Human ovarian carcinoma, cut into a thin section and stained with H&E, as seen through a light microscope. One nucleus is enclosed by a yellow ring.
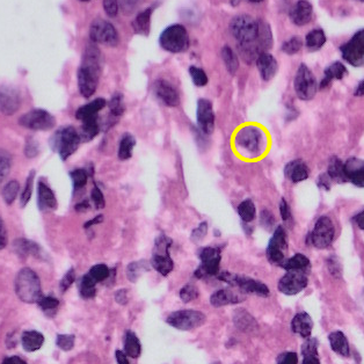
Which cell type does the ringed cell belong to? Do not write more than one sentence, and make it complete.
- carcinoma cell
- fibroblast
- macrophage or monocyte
In this section of tissue, the ringed cell is a macrophage or monocyte.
